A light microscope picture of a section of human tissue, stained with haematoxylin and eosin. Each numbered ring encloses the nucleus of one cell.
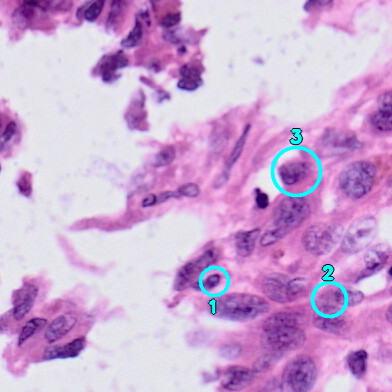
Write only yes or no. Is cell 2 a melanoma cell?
yes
